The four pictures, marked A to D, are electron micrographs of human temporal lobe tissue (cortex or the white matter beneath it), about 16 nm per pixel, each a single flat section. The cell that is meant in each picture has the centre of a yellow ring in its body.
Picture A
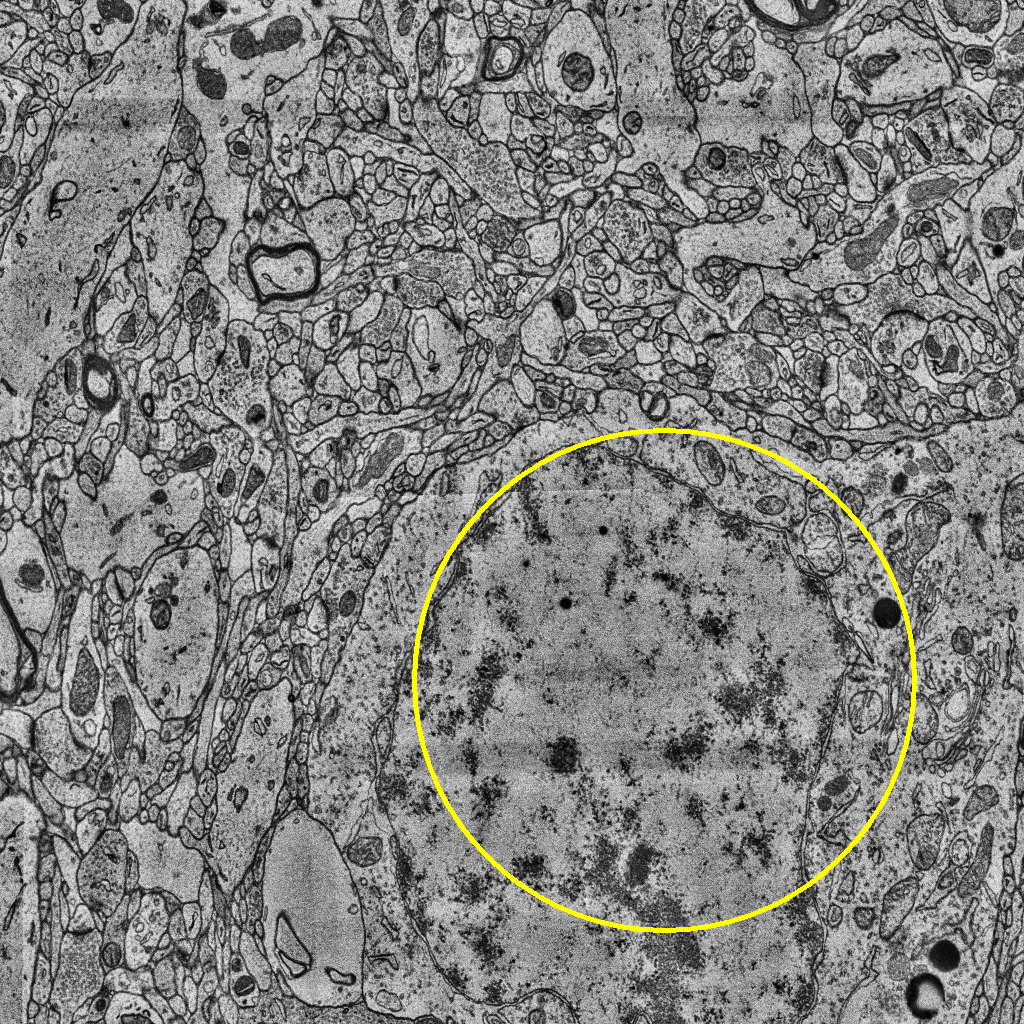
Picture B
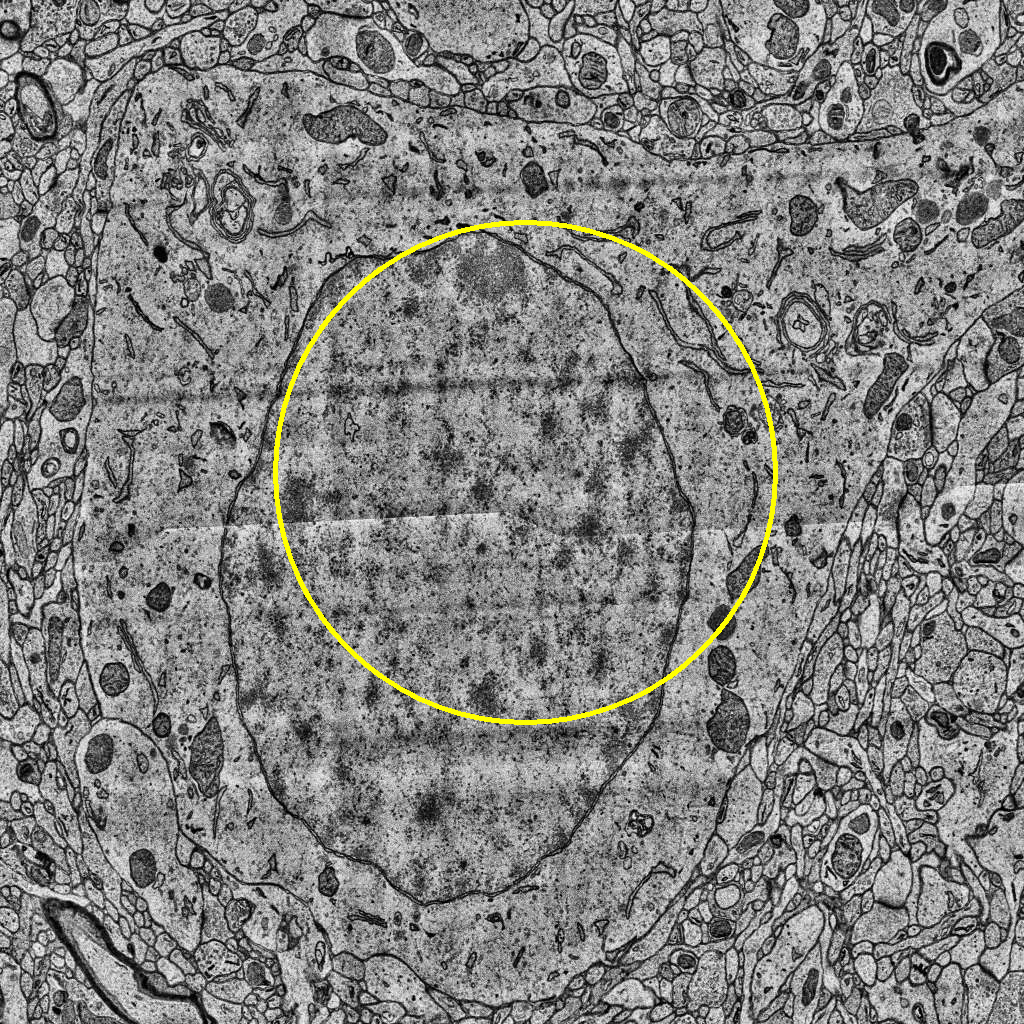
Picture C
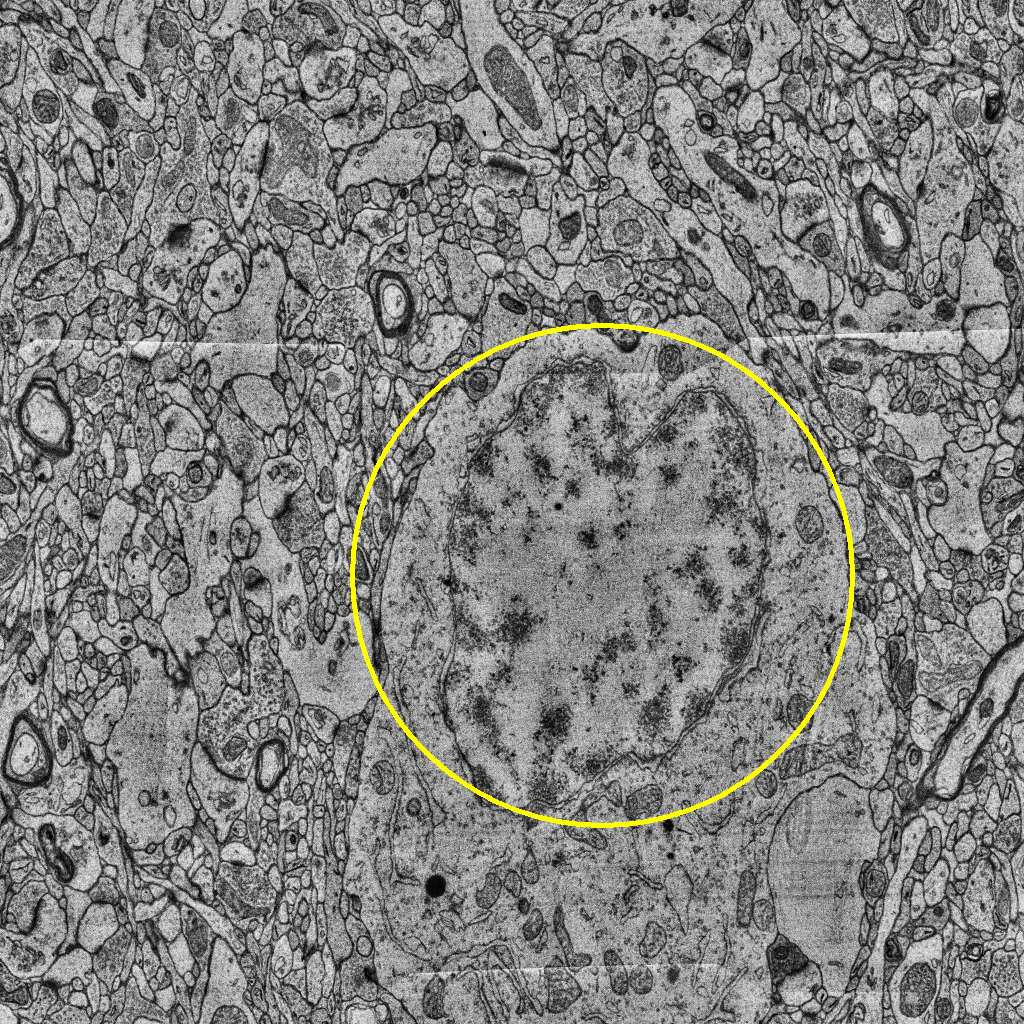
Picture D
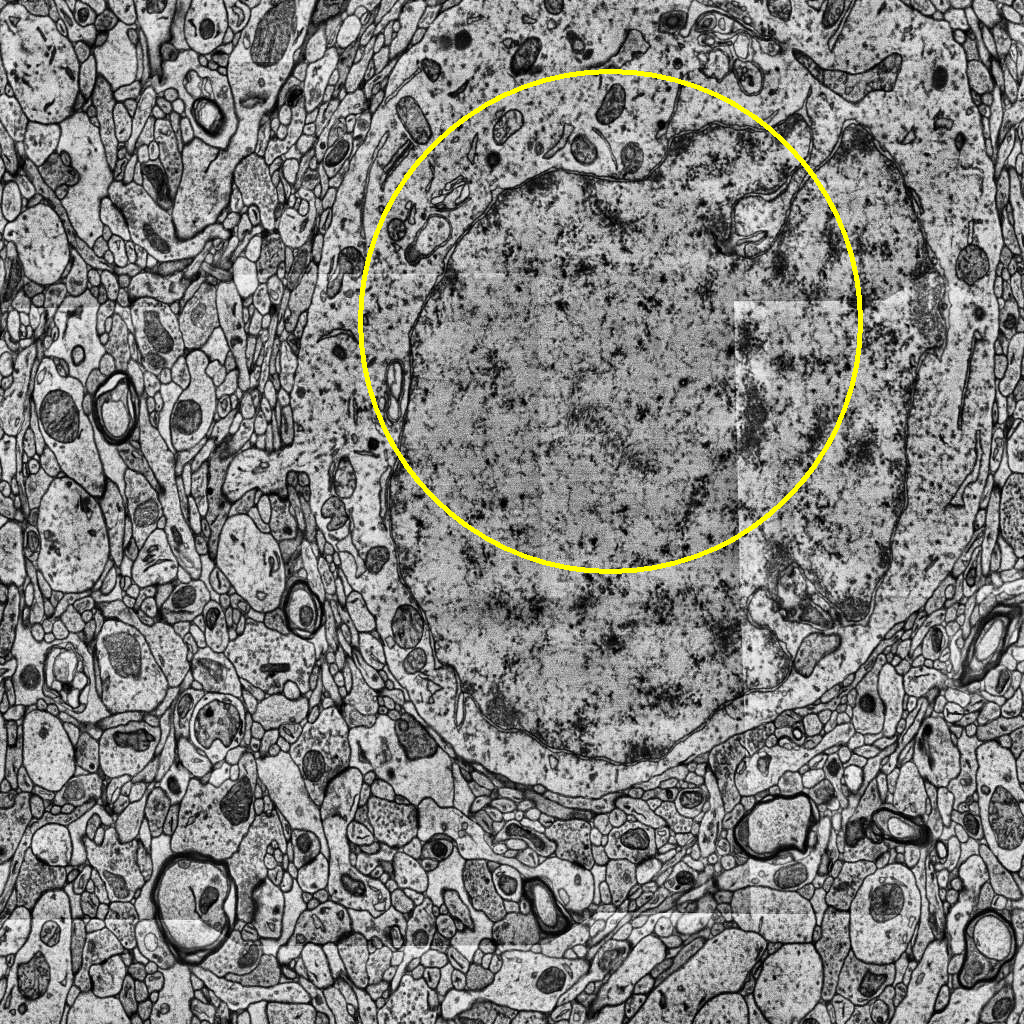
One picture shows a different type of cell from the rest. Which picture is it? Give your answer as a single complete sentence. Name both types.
Unlike the rest, which show interneurons, picture B shows a pyramidal neuron.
